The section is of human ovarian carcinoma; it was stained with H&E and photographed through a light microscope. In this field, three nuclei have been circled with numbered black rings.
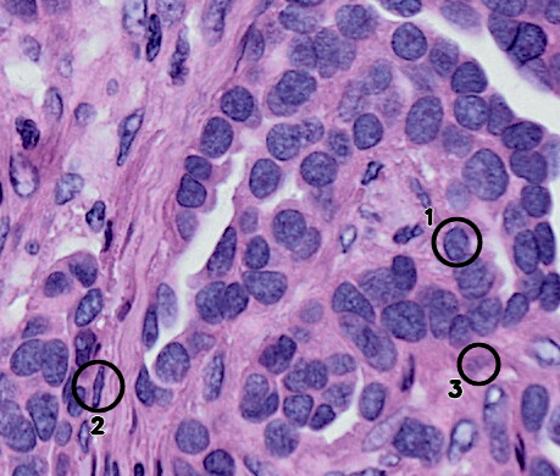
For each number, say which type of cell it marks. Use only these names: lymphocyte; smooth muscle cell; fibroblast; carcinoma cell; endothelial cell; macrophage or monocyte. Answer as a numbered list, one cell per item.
1. carcinoma cell
2. fibroblast
3. fibroblast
